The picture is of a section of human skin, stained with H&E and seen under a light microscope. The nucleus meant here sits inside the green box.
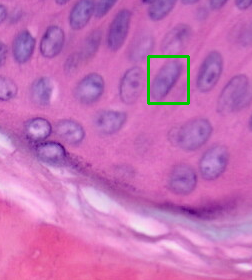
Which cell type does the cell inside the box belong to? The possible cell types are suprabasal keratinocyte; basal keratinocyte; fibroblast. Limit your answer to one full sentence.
As far as its identity is concerned, the cell inside the box is a suprabasal keratinocyte.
